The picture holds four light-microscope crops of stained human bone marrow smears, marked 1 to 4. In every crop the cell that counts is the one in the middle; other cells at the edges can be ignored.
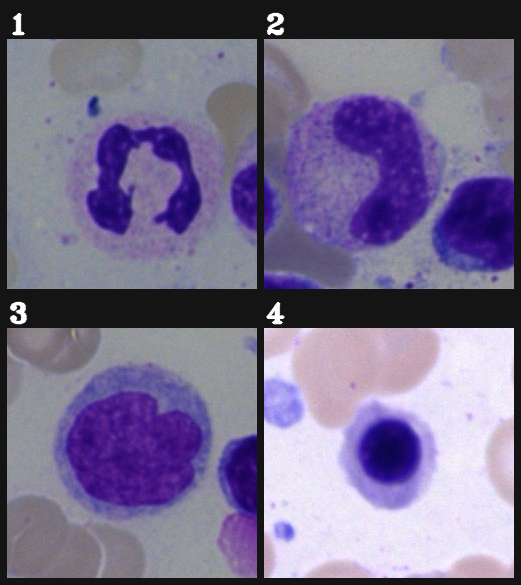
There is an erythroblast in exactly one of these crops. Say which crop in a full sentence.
The one showing an erythroblast is the crop labelled 4.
